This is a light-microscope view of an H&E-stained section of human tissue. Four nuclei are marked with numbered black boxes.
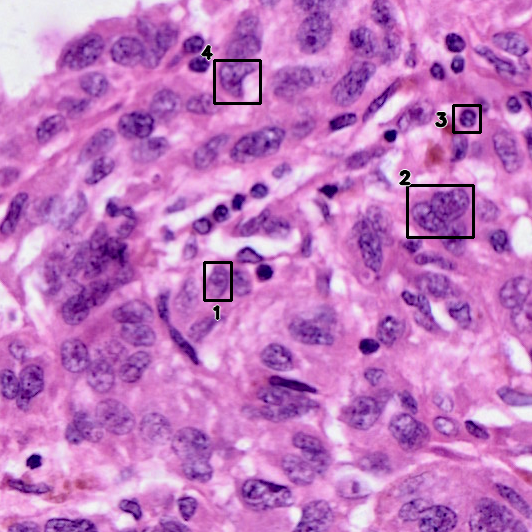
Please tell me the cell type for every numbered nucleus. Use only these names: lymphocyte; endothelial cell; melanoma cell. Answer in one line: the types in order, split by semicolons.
melanoma cell; melanoma cell; lymphocyte; melanoma cell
